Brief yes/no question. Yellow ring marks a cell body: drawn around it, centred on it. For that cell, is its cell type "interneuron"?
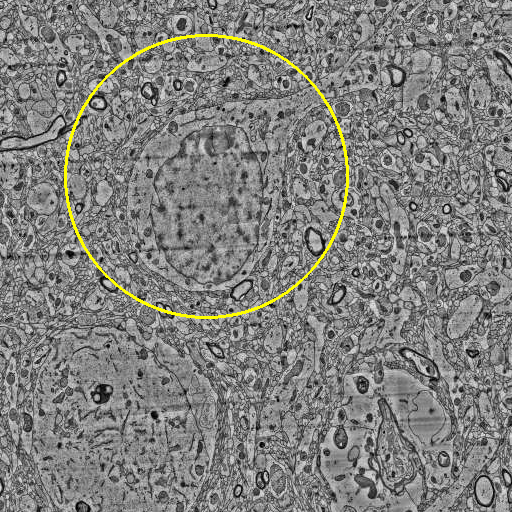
Yes, that is the cell type.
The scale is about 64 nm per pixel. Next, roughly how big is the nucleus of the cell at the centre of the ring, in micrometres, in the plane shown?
The nucleus has a long axis of about 10 micrometres and a short axis of about 7 micrometres in this plane.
